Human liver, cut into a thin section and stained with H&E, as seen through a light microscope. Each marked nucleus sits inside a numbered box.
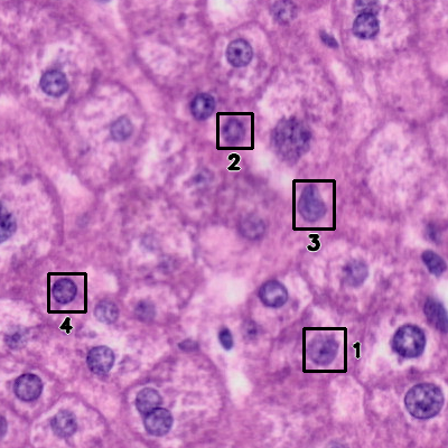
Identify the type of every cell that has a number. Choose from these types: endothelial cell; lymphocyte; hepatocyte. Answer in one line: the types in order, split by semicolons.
hepatocyte; hepatocyte; endothelial cell; hepatocyte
